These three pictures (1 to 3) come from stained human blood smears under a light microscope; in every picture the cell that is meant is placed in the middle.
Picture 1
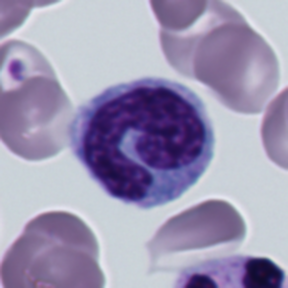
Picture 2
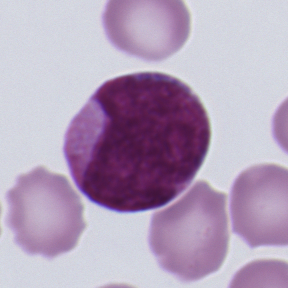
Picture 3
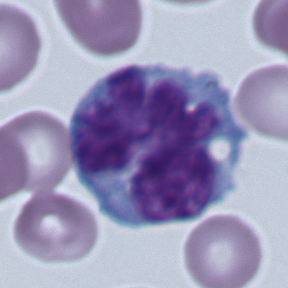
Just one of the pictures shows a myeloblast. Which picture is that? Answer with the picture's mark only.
2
